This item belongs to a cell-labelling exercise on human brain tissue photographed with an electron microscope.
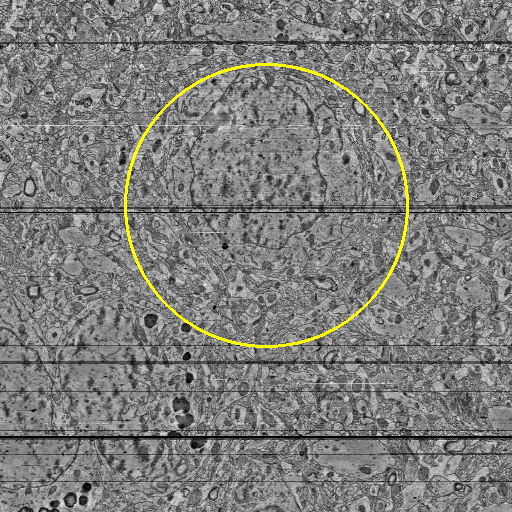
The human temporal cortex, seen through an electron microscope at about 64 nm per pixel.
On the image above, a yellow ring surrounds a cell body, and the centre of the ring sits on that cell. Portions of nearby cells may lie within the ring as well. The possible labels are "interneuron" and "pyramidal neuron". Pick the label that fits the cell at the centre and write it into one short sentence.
This cell should be labelled as a pyramidal neuron.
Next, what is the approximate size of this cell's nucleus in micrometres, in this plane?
Roughly 11 micrometres by 9 micrometres, in this plane.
